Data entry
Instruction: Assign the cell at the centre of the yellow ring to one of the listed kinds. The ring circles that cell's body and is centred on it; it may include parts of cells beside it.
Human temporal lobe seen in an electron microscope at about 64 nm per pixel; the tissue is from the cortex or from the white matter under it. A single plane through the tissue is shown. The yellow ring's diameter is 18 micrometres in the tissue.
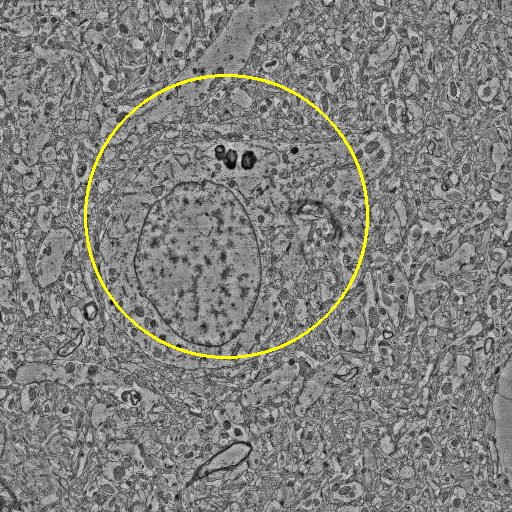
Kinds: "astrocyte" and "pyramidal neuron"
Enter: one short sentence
The centre of the ring falls on a pyramidal neuron.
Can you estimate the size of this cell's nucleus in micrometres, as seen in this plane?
The nucleus is approximately 11 micrometers long by 8 micrometers wide in this plane.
